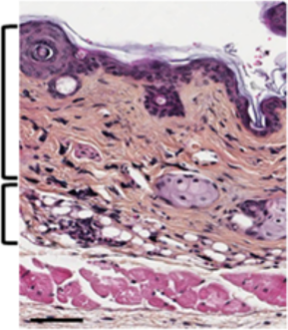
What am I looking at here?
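This is skin with fibrotic changes, cut from the surface down to the muscle. The epidermis at the top is a dark purple layer, and beneath it the dermis is a wide band of densely packed pink fibres with scattered elongated nuclei and a few rounded glandular or follicle profiles. The fat layer below is much reduced, with only a thin row of small fat cells and clustered dark nuclei before the pink skeletal muscle at the bottom. Overall the skin looks thickened and dominated by dense fibrous tissue.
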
